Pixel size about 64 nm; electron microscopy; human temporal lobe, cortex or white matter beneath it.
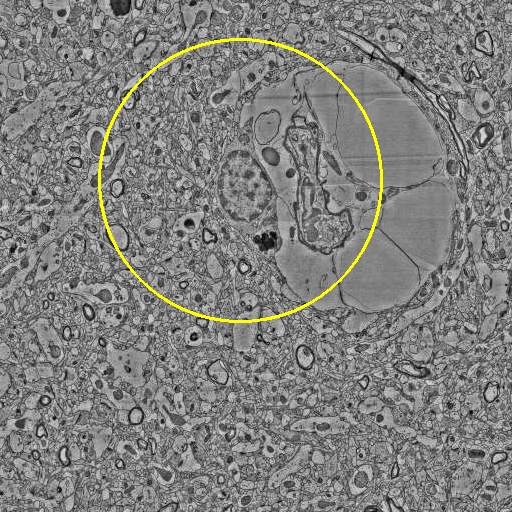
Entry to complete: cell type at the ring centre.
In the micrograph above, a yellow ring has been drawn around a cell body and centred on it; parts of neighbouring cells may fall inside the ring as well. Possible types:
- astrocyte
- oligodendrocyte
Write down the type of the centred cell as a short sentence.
The ring is centred on an oligodendrocyte.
